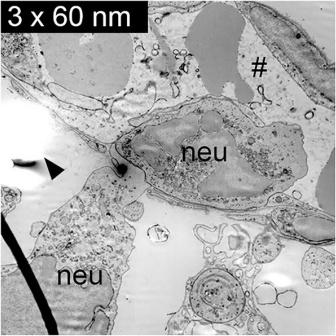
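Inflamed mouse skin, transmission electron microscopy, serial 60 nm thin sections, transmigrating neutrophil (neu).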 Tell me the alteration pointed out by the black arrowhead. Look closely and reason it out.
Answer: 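A dark curved band crosses the lower left of the section.
Conclusion: Physical distortions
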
